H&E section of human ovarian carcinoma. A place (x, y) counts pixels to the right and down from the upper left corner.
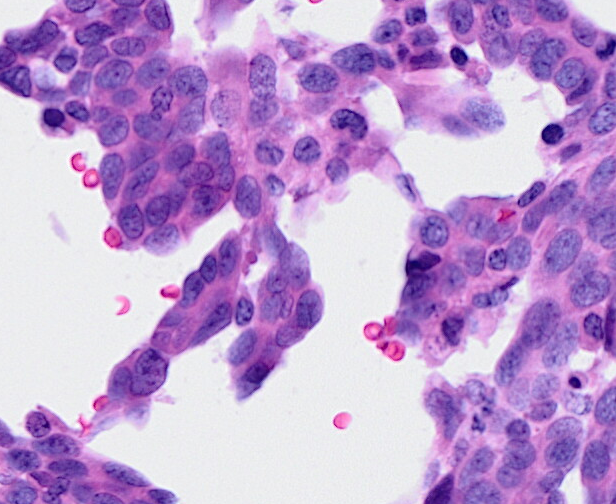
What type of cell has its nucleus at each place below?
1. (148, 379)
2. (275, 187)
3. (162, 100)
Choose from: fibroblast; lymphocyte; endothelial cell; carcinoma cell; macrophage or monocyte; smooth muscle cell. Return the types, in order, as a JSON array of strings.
["carcinoma cell", "macrophage or monocyte", "macrophage or monocyte"]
